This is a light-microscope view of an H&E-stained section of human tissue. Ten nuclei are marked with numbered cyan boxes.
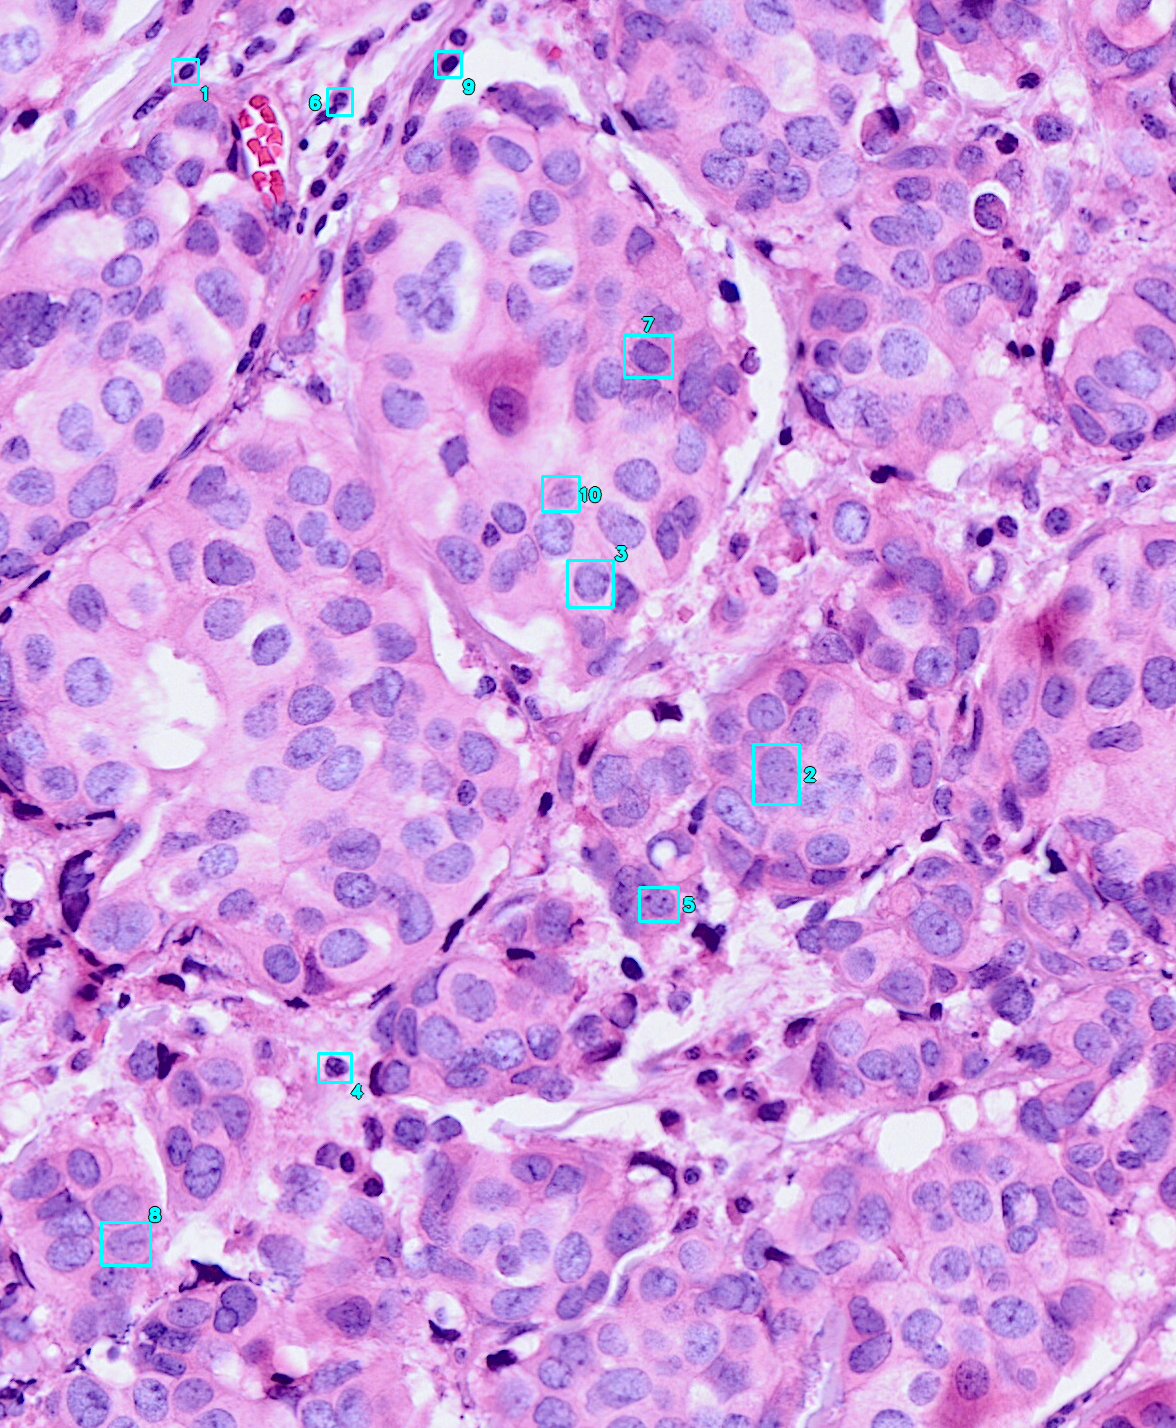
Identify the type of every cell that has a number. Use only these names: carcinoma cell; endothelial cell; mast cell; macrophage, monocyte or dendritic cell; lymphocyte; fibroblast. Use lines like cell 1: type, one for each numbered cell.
cell 1: lymphocyte
cell 2: carcinoma cell
cell 3: carcinoma cell
cell 4: lymphocyte
cell 5: carcinoma cell
cell 6: lymphocyte
cell 7: carcinoma cell
cell 8: carcinoma cell
cell 9: lymphocyte
cell 10: carcinoma cell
